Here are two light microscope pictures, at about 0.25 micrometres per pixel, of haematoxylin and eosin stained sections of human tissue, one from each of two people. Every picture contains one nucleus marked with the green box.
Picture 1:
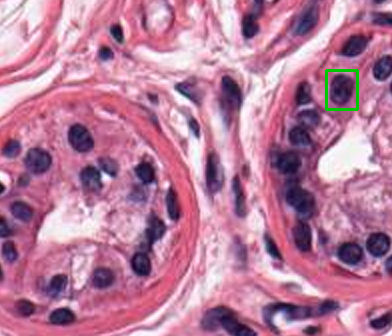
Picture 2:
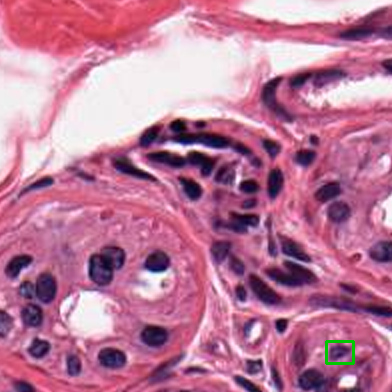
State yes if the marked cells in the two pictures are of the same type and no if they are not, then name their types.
Yes, both are sweat gland cells.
